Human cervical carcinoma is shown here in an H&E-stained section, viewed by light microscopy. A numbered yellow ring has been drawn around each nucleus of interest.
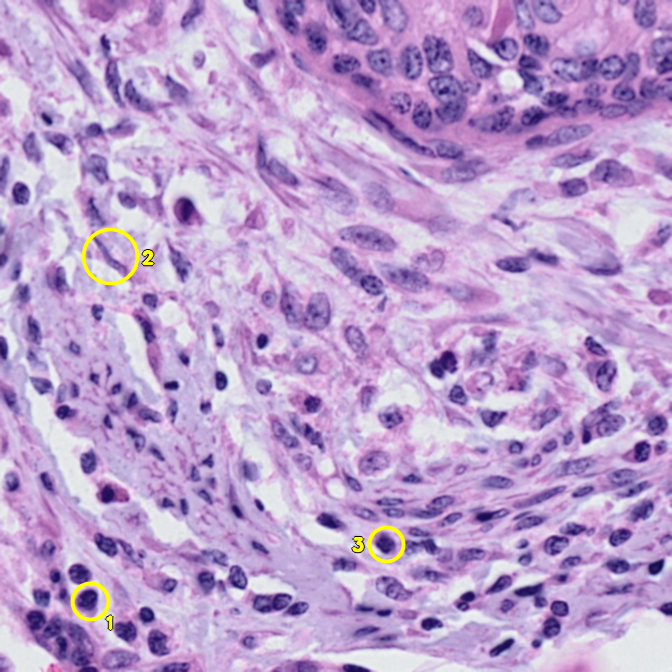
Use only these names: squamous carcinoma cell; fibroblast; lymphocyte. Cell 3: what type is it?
lymphocyte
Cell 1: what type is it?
lymphocyte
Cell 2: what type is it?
fibroblast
